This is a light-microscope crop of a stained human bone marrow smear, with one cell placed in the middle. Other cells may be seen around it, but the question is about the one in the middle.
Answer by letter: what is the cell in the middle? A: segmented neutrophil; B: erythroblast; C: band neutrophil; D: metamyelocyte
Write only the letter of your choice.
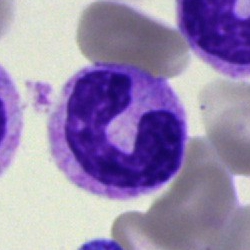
C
